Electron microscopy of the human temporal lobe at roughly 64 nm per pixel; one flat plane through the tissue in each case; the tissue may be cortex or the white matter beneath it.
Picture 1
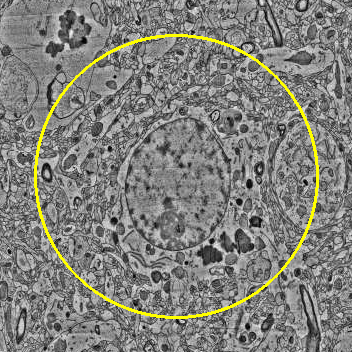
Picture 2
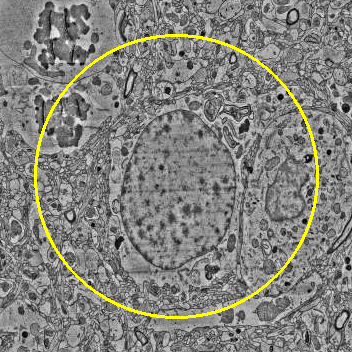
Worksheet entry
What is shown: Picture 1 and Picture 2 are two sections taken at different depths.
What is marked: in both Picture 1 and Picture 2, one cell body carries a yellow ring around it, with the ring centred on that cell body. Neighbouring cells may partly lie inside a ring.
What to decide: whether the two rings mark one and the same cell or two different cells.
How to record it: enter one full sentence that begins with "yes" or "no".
Yes, the two rings belong to one cell, not to two.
